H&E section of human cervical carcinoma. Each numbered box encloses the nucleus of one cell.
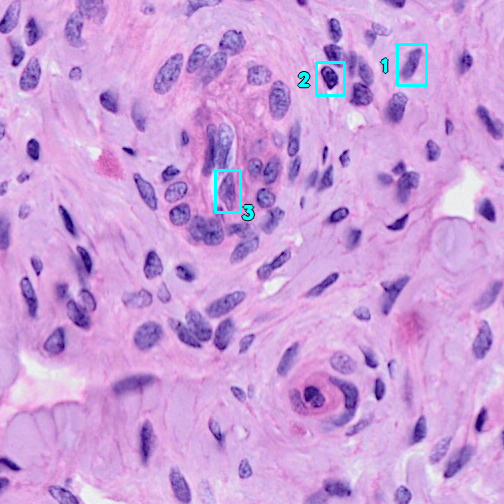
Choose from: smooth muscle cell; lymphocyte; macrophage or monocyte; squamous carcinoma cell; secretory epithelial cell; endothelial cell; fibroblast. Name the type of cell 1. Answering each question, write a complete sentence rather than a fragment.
The nucleus marked 1 is the nucleus of a fibroblast.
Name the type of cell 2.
Number 2 is placed on a lymphocyte here.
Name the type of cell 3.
The nucleus marked 3 is the nucleus of an endothelial cell.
